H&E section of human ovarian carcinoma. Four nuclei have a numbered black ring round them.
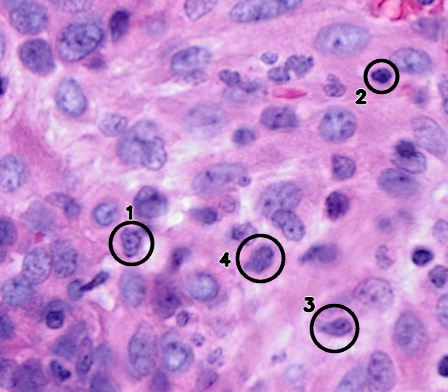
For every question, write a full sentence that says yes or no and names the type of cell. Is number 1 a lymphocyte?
No, instead of a lymphocyte, the cell with number 1 is a macrophage or monocyte.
